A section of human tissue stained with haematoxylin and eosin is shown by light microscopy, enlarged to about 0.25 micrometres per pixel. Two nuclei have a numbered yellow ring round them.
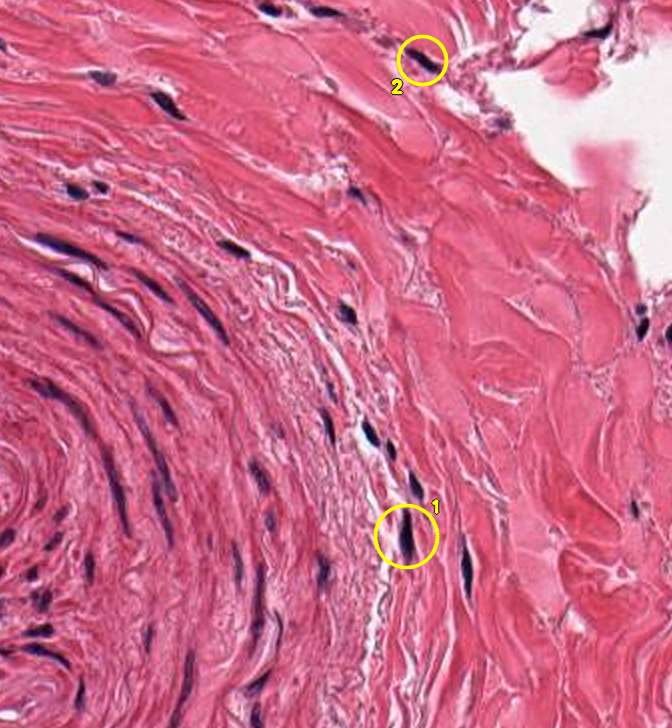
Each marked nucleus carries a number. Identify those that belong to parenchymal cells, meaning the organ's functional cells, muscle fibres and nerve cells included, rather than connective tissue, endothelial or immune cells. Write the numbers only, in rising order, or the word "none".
none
